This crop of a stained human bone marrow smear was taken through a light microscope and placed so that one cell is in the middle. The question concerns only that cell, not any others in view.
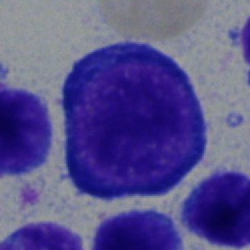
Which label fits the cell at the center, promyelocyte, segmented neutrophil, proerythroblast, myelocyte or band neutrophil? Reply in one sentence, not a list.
The cell the crop is centered on is a proerythroblast.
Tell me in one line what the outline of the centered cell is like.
Its outline is smooth, with no projections anywhere along the edge.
